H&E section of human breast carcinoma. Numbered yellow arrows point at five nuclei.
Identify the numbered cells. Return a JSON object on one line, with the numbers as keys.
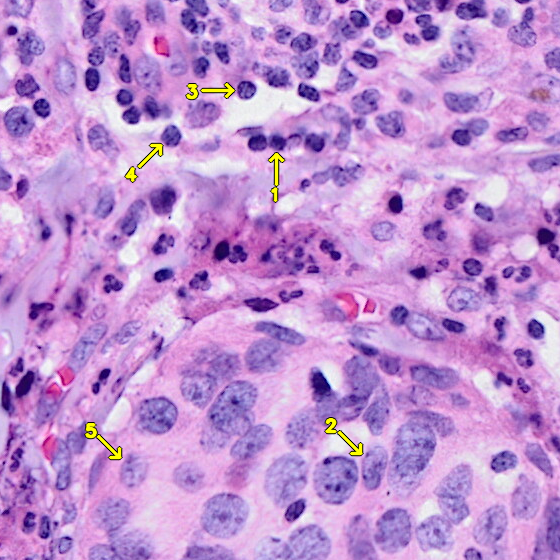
{"1": "lymphocyte", "2": "carcinoma cell", "3": "lymphocyte", "4": "lymphocyte", "5": "carcinoma cell"}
